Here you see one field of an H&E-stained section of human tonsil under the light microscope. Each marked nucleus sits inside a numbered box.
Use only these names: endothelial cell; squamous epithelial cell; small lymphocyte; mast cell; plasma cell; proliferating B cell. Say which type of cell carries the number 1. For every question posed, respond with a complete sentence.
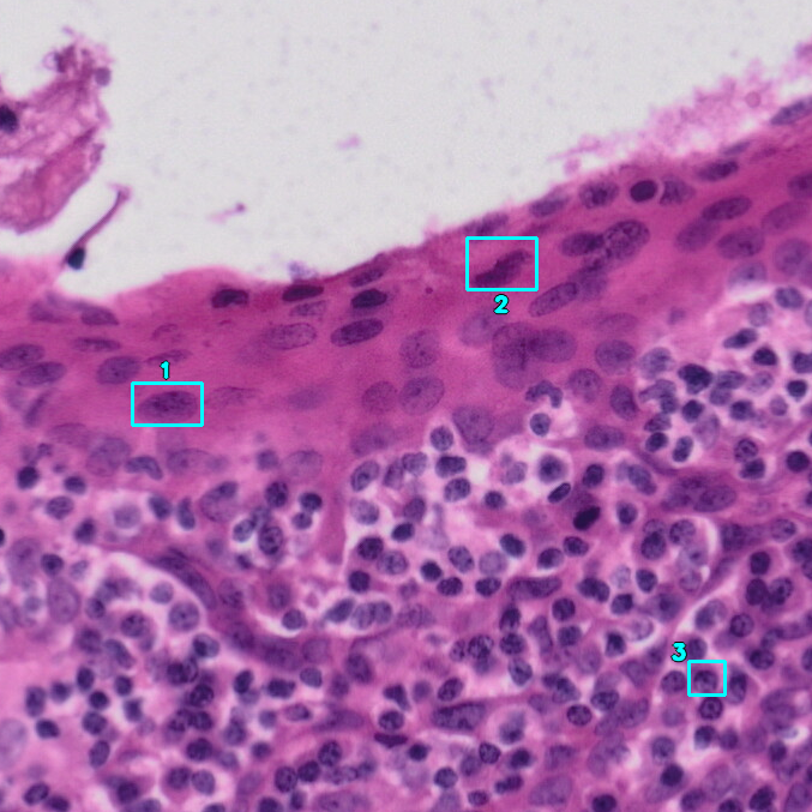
The correct answer for cell 1 is a squamous epithelial cell.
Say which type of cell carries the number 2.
The cell bearing label 2 corresponds to a squamous epithelial cell.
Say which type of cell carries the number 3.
That cell with number 3 is a plasma cell.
